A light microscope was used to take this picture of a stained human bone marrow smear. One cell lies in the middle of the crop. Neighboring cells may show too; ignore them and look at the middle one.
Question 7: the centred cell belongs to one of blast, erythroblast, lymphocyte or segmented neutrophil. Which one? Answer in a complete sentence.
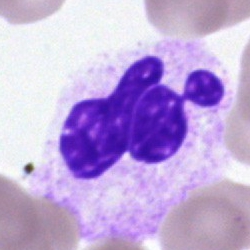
Within this crop, a segmented neutrophil occupies the central position.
